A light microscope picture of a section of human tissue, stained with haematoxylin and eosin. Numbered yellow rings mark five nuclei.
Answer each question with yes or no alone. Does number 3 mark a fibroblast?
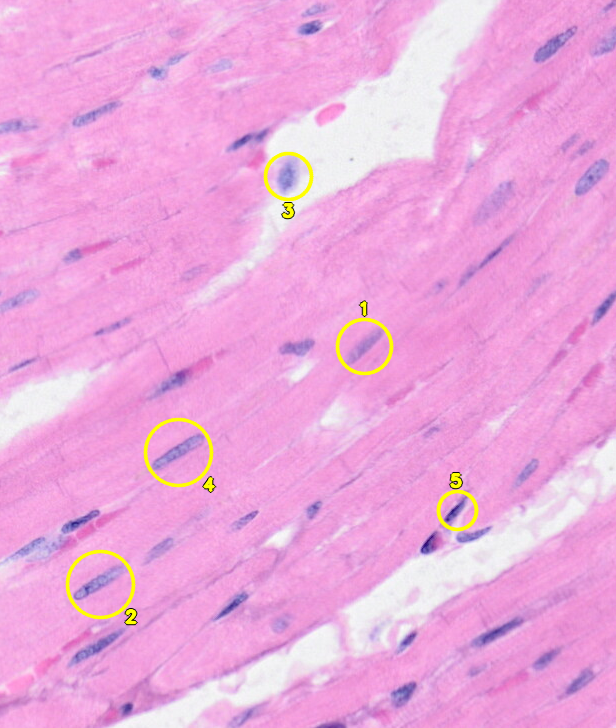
yes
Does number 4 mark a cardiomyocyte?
yes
